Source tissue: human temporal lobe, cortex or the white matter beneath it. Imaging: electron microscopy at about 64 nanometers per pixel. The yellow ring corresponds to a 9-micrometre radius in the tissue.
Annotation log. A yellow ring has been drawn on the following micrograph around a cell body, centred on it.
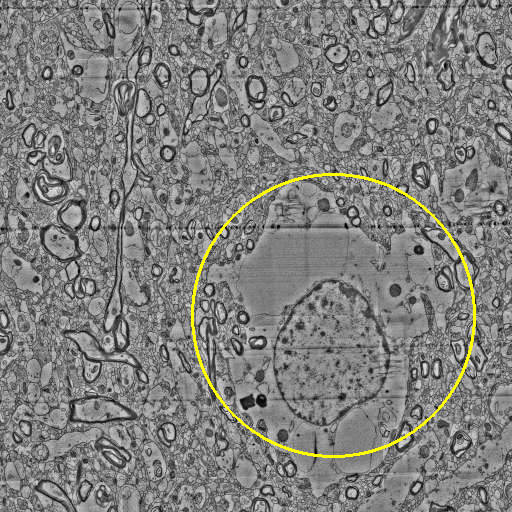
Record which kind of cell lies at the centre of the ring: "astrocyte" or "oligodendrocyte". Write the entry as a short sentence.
The cell the ring is centred on is an astrocyte.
